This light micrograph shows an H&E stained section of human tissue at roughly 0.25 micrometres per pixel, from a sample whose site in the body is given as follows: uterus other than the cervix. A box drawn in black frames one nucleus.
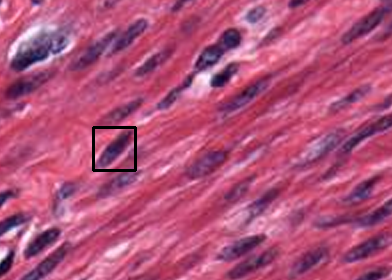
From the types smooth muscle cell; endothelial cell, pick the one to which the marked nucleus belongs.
smooth muscle cell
